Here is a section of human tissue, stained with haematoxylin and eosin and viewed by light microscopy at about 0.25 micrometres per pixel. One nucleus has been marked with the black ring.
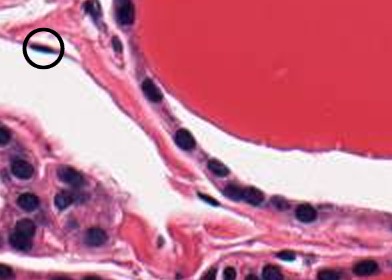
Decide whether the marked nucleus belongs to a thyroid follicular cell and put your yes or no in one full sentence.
No, the marked nucleus is found in a supporting cell instead of in a thyroid follicular cell.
